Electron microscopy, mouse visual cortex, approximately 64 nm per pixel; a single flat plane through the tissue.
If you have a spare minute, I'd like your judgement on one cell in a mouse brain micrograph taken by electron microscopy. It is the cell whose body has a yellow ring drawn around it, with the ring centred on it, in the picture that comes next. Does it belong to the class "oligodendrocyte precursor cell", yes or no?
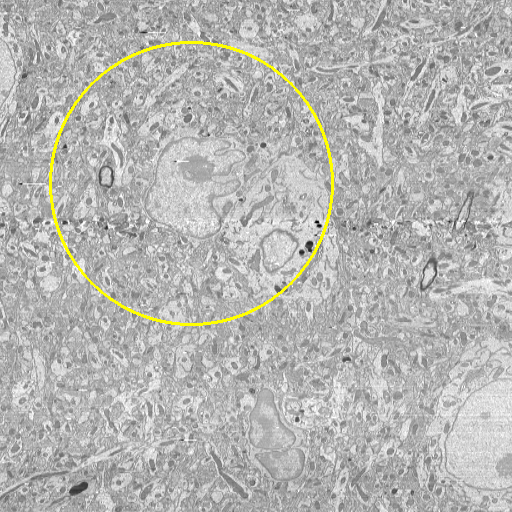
Yes, it belongs to that class.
